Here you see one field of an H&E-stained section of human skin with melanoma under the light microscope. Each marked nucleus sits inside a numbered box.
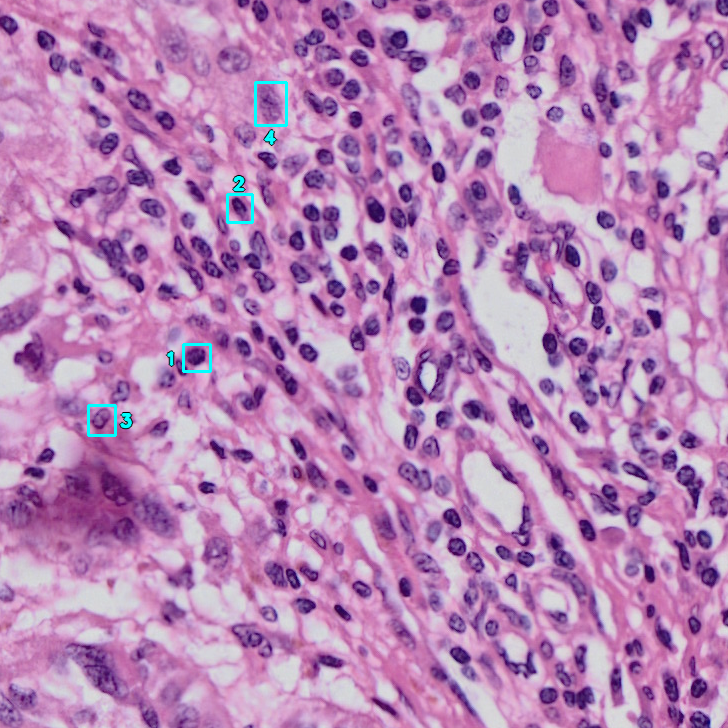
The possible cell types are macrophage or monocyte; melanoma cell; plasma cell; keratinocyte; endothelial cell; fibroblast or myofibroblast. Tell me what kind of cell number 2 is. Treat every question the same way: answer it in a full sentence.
The marked nucleus 2 is that of a plasma cell.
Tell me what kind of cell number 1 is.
The numeral 1 marks a plasma cell in this section.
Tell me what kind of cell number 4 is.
The numeral 4 marks a melanoma cell in this section.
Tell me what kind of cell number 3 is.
The cell identified by the number 3 is a macrophage or monocyte.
